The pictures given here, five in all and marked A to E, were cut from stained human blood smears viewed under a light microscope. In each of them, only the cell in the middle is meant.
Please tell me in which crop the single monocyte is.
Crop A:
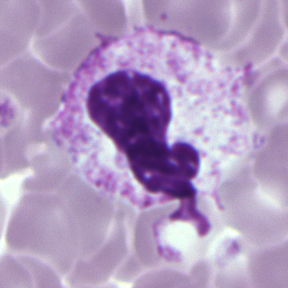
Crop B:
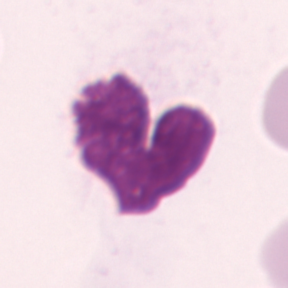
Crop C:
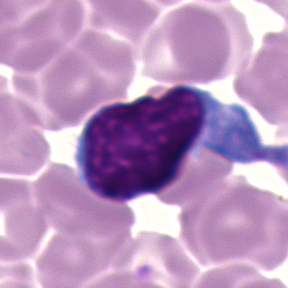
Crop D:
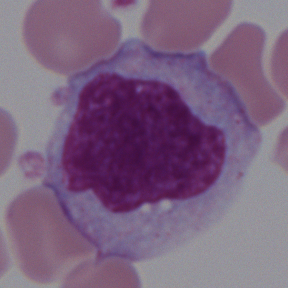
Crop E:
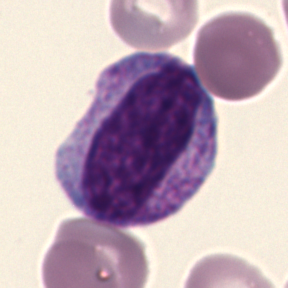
D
